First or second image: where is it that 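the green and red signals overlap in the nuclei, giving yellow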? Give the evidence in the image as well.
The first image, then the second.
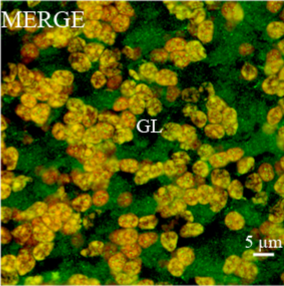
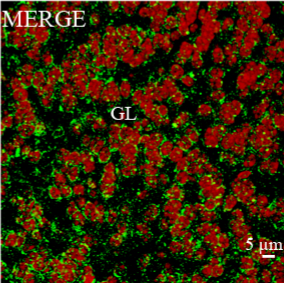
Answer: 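First image: most of the small round nuclei appear yellow to orange where green and red overlap. So: the first image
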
